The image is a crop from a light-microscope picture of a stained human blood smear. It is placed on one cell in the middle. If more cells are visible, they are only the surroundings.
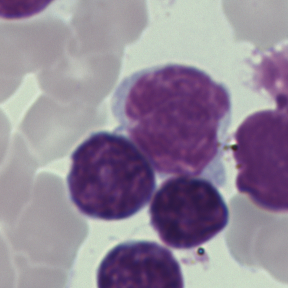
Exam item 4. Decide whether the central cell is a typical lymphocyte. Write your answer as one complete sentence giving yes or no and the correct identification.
No, looking at the central cell, it is a myeloblast rather than a typical lymphocyte.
